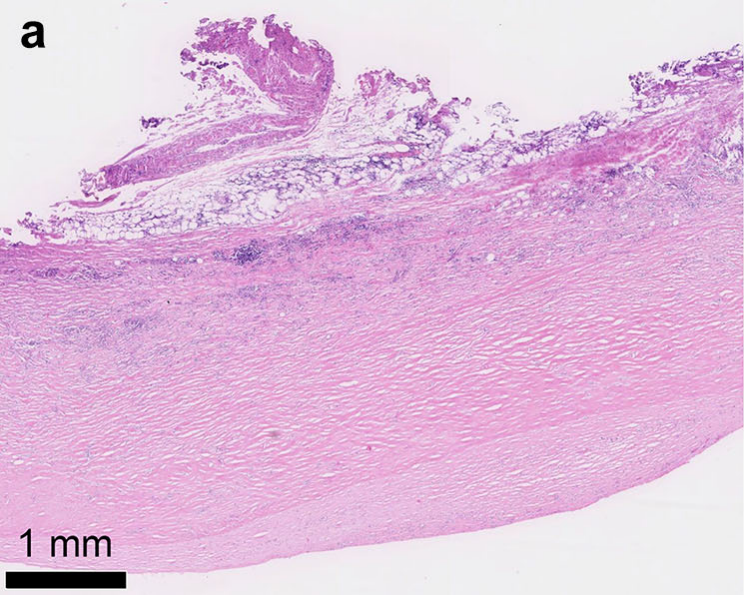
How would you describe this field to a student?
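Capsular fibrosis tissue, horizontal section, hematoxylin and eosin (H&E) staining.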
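Along the upper surface the tissue becomes loose, vacuolated and frayed. Bluish-purple bands of cells beneath that surface point to chronic inflammation.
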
